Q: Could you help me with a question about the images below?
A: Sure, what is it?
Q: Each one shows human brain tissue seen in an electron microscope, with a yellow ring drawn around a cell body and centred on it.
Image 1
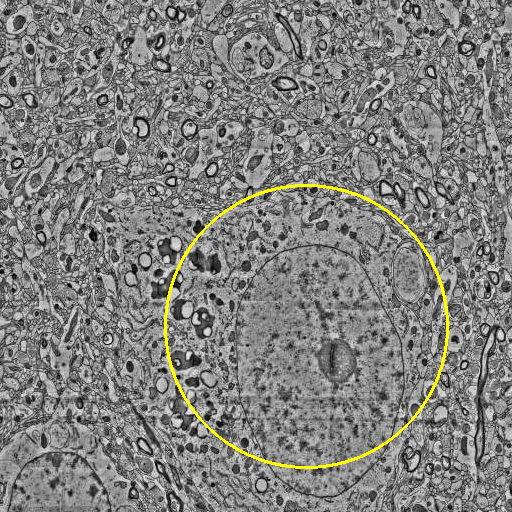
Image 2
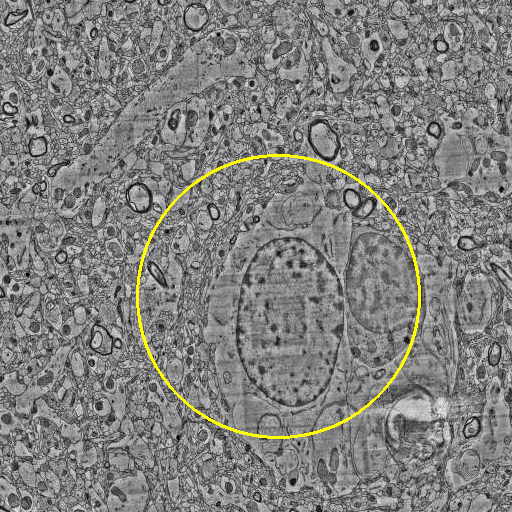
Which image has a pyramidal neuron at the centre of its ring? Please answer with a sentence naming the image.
Image 1 has it at the centre of its ring.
